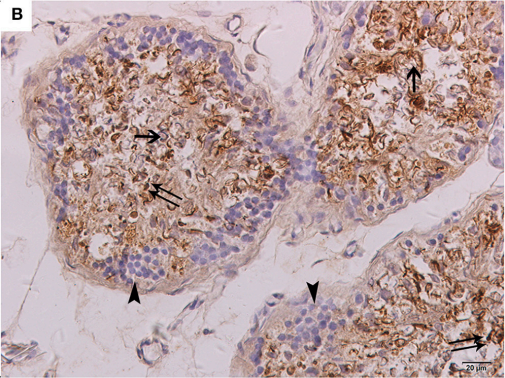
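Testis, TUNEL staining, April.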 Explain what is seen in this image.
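Seminiferous tubules in cross-section, with slender connective tissue between them. Many cells in the inner layers carry dense brown stain, obscuring their outlines. The outermost layer of cells, along the tubule boundary, keeps blue nuclei without brown stain. Few cells with blue nuclei and no brown stain lie in the tissue between the tubules.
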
